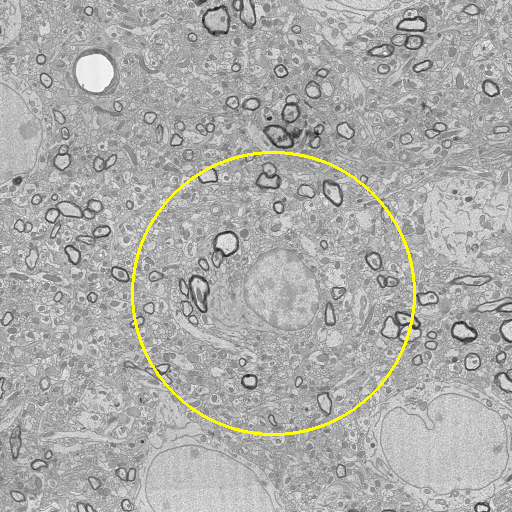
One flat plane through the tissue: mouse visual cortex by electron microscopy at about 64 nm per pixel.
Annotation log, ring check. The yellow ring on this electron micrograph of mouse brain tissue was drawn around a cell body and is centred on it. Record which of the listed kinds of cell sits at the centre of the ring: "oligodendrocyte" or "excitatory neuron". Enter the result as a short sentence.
The cell at the centre of the ring is an oligodendrocyte.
